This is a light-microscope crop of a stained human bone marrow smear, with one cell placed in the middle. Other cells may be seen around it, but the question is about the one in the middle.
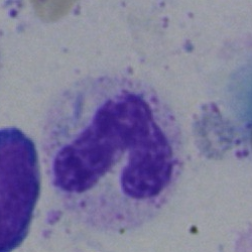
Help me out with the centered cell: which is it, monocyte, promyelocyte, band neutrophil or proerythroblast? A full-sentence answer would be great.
In short, the cell at the center is a band neutrophil.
